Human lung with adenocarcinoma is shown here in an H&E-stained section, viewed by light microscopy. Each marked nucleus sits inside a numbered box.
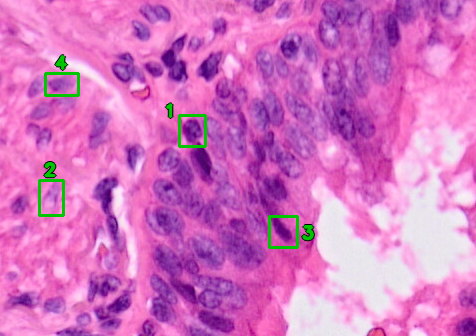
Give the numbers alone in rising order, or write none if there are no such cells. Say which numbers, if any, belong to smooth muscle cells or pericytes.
2, 4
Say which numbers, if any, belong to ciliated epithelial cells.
3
